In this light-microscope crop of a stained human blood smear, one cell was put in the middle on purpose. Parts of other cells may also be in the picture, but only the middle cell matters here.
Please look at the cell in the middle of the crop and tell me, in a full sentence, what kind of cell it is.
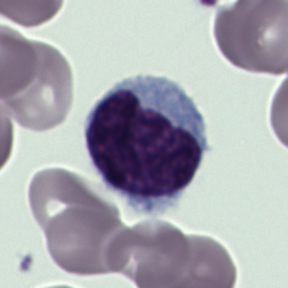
Centrally within this crop lies a monocyte.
